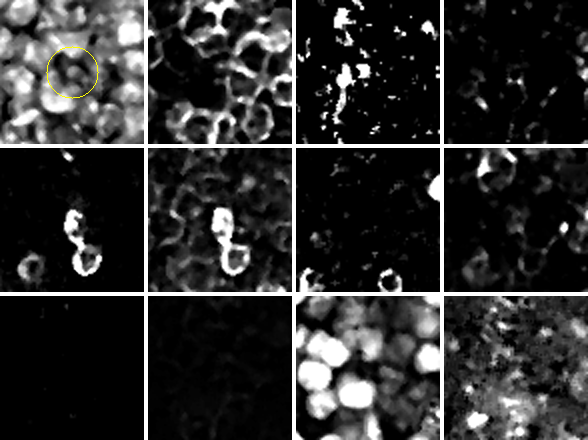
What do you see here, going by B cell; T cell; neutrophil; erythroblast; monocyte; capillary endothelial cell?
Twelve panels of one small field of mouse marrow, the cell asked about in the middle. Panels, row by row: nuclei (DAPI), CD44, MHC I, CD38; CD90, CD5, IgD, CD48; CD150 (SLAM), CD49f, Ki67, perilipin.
I see a T cell.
